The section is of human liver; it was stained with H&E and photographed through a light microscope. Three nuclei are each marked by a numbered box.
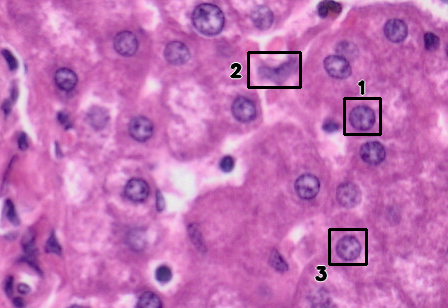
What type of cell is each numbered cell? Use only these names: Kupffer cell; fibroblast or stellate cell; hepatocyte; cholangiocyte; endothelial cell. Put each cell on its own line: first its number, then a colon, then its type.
1: hepatocyte
2: Kupffer cell
3: hepatocyte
